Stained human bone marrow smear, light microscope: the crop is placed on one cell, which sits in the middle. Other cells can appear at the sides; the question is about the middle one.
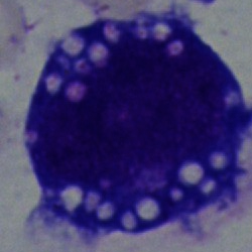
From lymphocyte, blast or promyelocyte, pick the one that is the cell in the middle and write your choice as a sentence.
For this crop, the cell in the middle is a blast.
